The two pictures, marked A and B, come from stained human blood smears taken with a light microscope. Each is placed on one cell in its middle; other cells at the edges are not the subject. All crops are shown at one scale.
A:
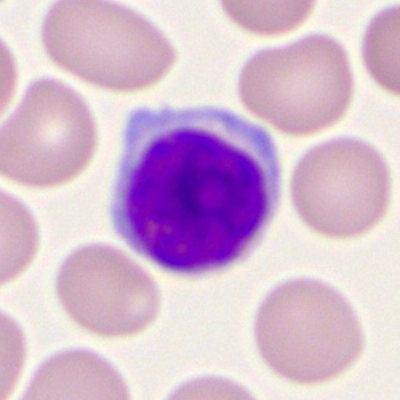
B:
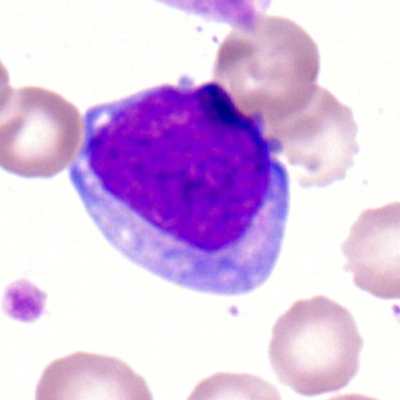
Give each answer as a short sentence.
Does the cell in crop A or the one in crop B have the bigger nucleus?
The nucleus in crop B is larger, with about 1.5 times the area of the one in crop A.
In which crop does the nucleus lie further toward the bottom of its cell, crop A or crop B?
Seen within its cell, the nucleus in crop A lies further toward the bottom.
